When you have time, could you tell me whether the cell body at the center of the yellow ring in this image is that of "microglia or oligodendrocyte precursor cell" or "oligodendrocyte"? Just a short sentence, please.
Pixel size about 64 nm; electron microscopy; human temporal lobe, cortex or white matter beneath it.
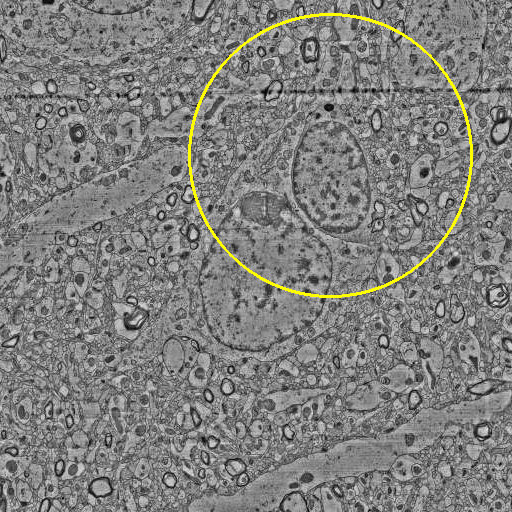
The cell body at the center of the ring is that of an oligodendrocyte.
